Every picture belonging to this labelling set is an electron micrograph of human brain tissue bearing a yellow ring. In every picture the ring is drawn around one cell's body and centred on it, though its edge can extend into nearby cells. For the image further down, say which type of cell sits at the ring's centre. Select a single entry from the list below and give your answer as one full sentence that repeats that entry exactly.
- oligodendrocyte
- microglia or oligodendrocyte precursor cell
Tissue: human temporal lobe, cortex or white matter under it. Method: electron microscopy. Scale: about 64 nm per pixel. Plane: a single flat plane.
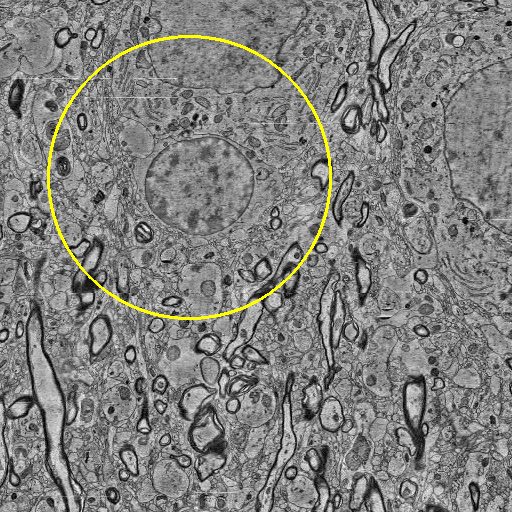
In the picture, an oligodendrocyte is the cell at the centre of the yellow ring.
